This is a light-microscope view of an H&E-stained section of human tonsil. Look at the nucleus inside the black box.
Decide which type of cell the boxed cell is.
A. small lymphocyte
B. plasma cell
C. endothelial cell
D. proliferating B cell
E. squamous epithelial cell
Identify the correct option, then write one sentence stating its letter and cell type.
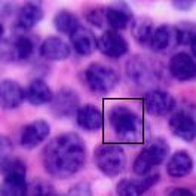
In this item, the boxed cell is a small lymphocyte, and option A is right.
